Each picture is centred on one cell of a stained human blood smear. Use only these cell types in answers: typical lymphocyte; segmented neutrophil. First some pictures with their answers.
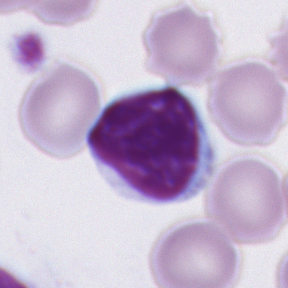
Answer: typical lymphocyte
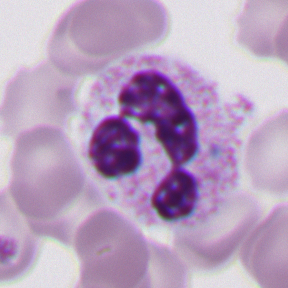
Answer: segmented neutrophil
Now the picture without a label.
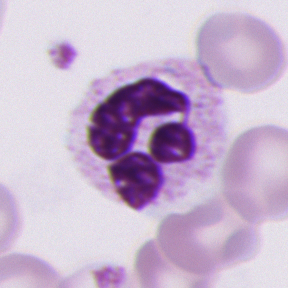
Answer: segmented neutrophil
